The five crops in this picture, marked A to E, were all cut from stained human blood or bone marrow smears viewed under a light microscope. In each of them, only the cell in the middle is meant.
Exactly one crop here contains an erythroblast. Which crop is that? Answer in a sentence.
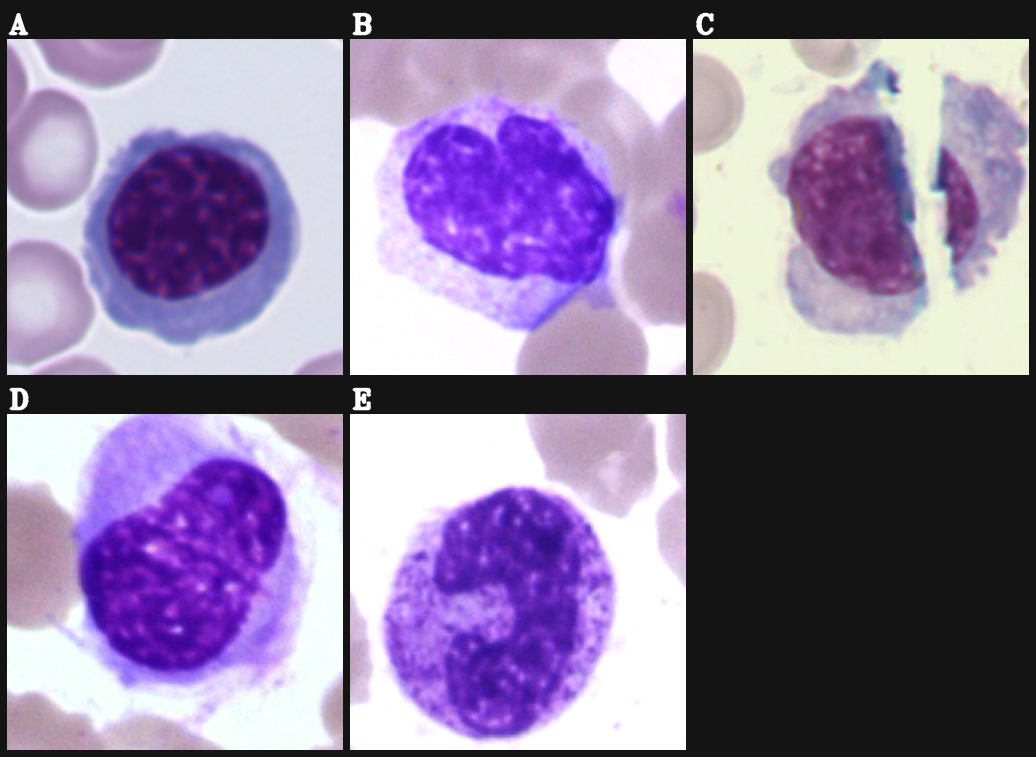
The crop marked A is the one in which an erythroblast is shown.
